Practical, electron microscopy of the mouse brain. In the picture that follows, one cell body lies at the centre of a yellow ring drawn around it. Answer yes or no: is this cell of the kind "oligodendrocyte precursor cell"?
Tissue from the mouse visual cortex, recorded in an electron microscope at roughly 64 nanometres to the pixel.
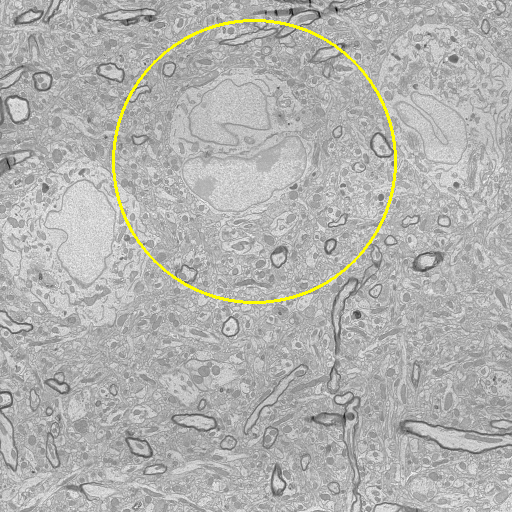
yes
